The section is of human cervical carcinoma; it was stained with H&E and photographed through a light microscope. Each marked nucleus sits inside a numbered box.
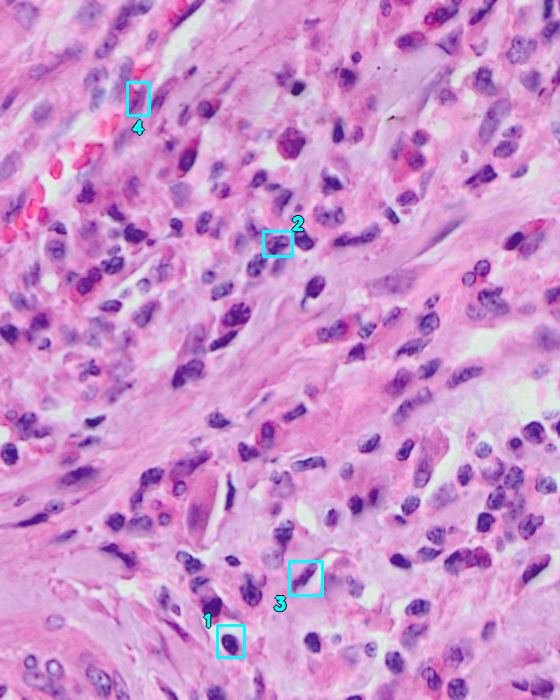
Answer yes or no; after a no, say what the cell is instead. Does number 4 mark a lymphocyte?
No, it is an endothelial cell.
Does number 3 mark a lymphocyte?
No, it is an endothelial cell.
